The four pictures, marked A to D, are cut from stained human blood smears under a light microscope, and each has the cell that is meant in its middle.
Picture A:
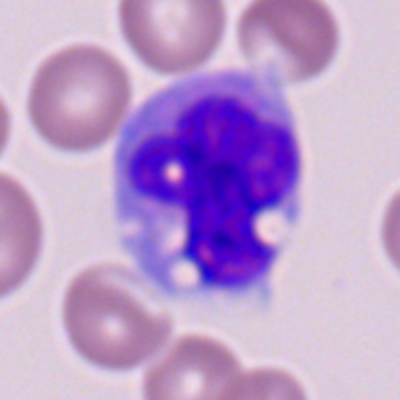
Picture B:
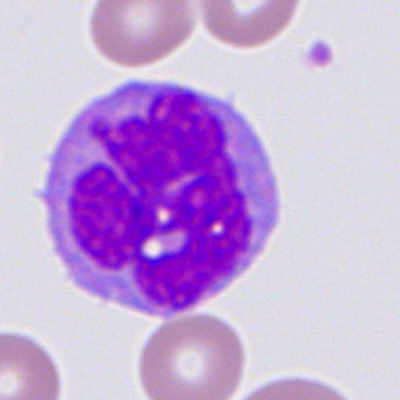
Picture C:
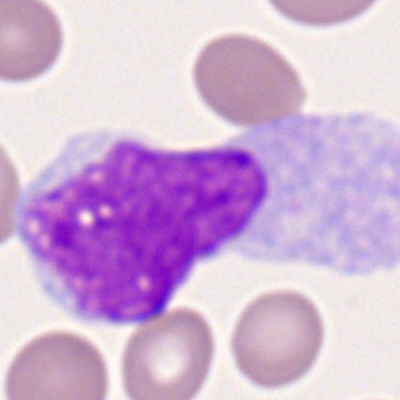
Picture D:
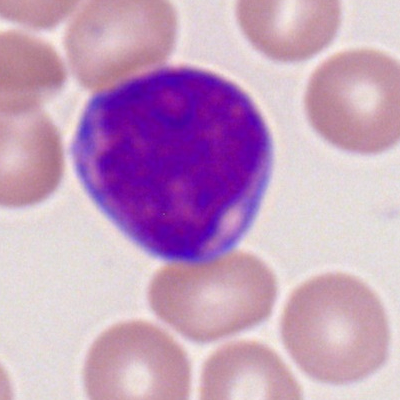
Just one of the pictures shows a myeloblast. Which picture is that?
D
